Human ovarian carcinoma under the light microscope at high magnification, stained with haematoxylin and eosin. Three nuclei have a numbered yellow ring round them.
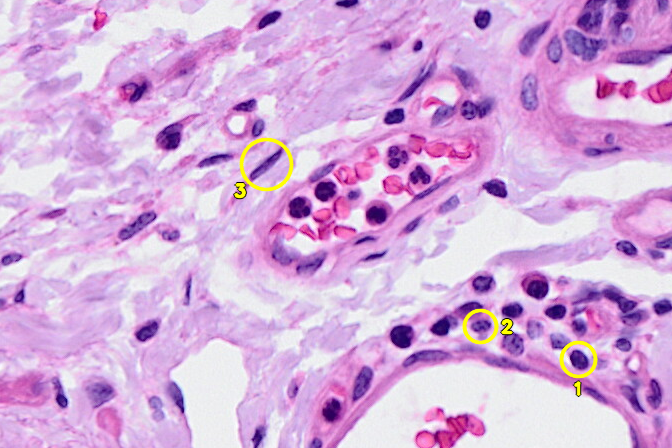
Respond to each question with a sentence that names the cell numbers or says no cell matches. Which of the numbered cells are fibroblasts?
Only one of the numbered nuclei, number 3, belongs to a fibroblast.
